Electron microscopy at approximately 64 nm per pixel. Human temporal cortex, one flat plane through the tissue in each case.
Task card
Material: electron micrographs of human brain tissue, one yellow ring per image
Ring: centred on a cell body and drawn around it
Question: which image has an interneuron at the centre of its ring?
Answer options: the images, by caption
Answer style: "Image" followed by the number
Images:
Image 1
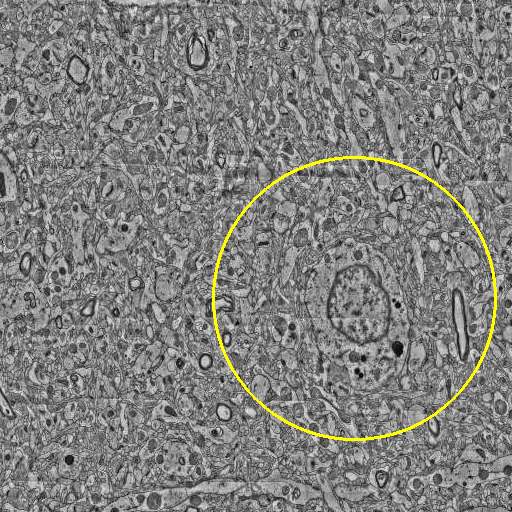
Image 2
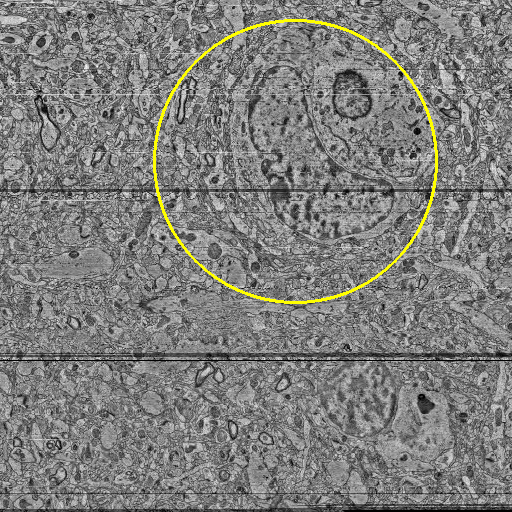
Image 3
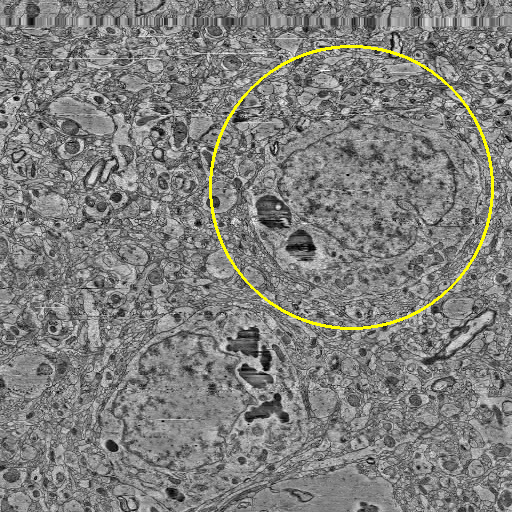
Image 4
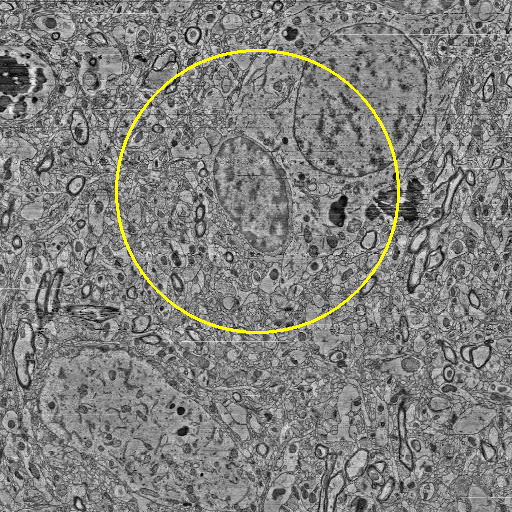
Image 3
